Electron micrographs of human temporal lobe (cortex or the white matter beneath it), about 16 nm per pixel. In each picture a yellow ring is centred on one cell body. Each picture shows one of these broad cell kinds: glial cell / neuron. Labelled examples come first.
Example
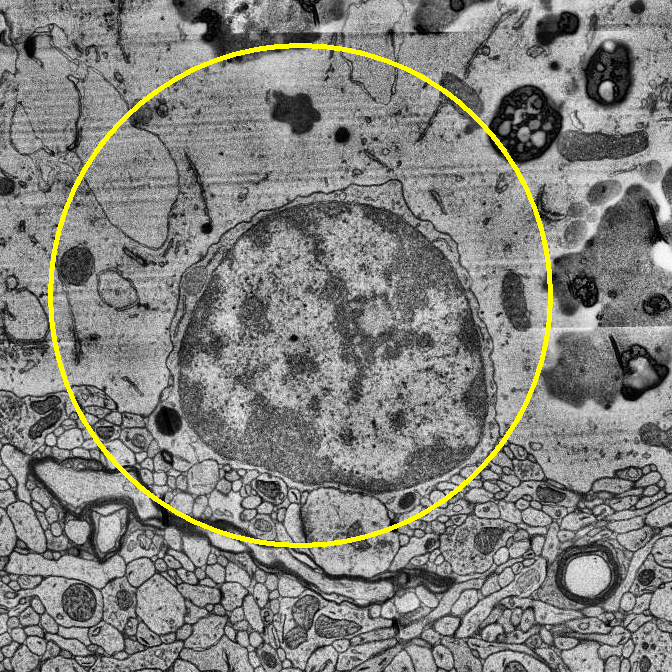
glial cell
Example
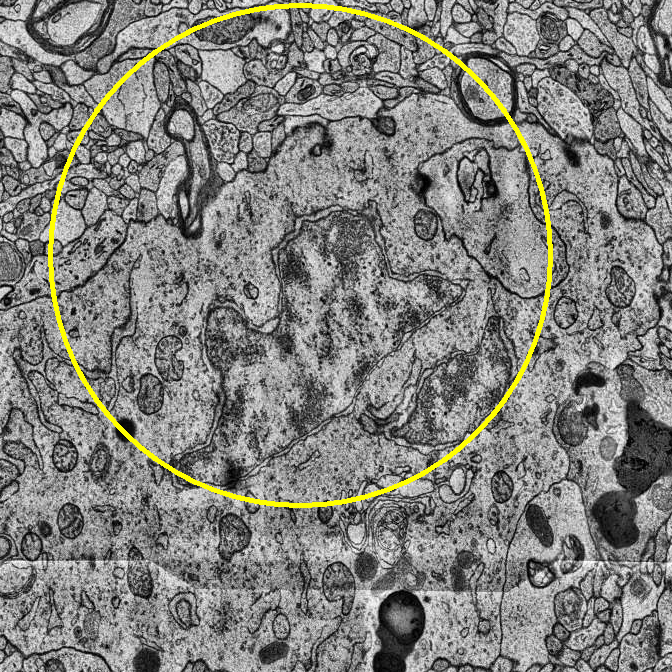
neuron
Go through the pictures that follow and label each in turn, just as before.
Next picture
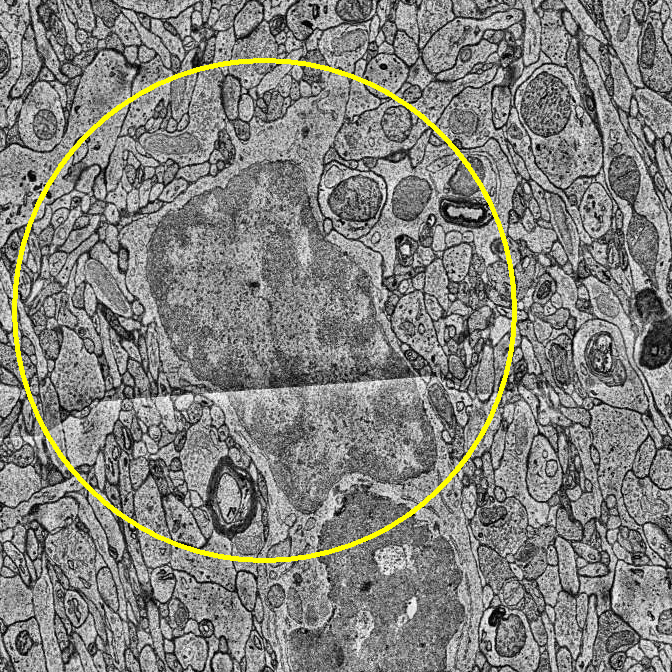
glial cell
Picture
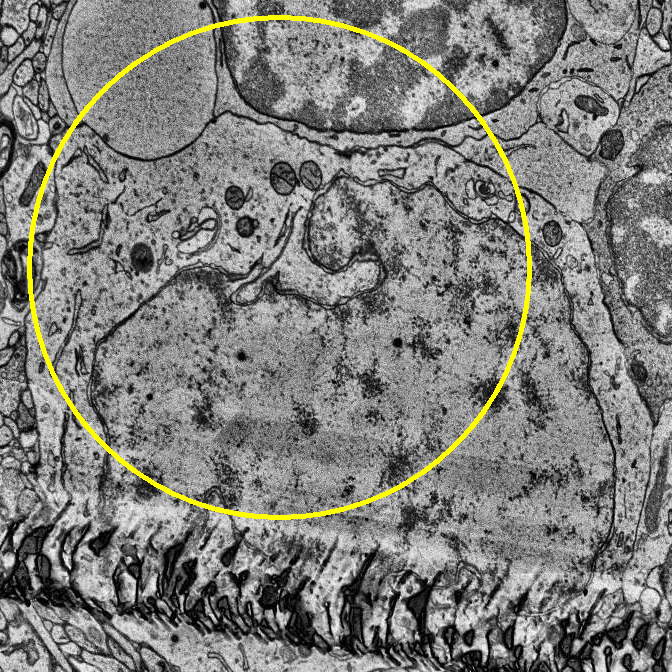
neuron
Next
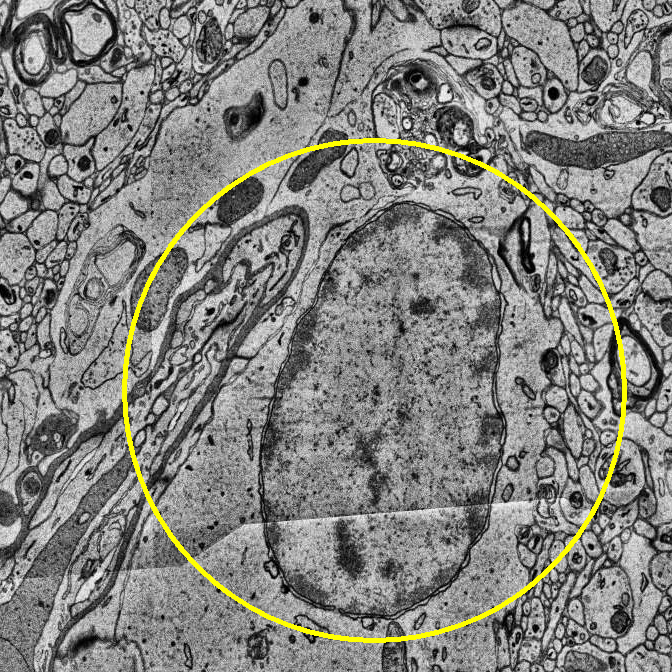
glial cell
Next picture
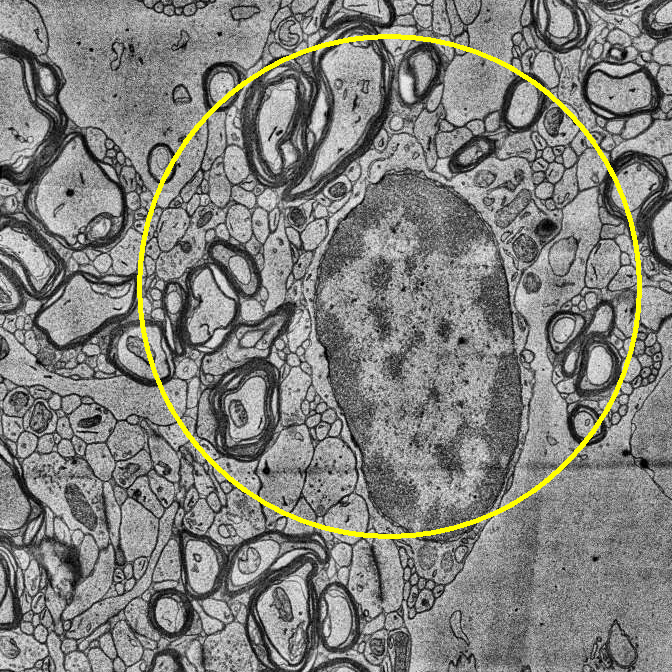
glial cell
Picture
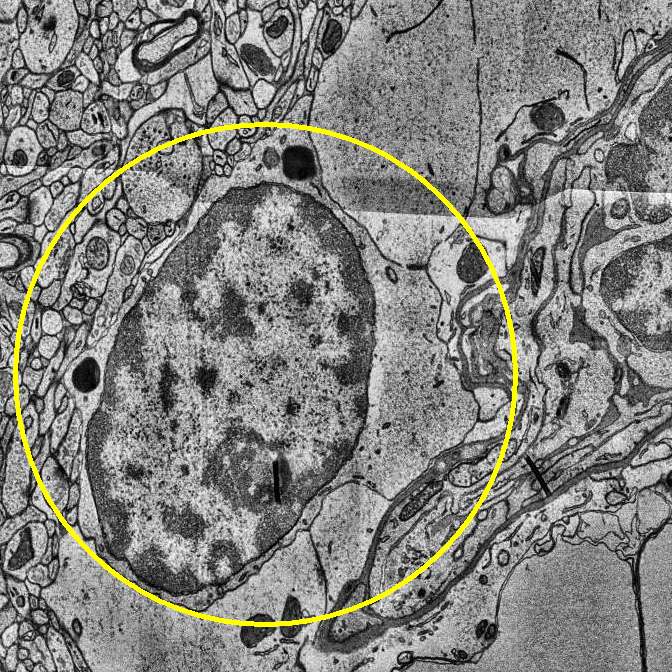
glial cell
